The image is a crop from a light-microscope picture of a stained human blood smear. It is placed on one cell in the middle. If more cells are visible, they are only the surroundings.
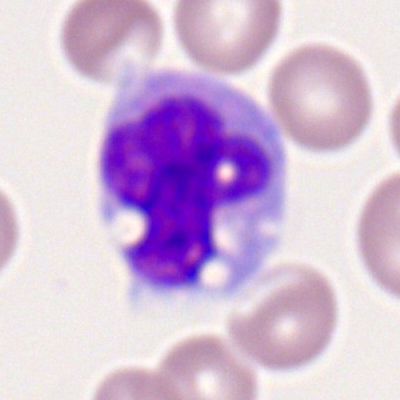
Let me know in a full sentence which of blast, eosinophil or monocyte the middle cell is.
Whatever else lies nearby, the middle cell is a monocyte.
